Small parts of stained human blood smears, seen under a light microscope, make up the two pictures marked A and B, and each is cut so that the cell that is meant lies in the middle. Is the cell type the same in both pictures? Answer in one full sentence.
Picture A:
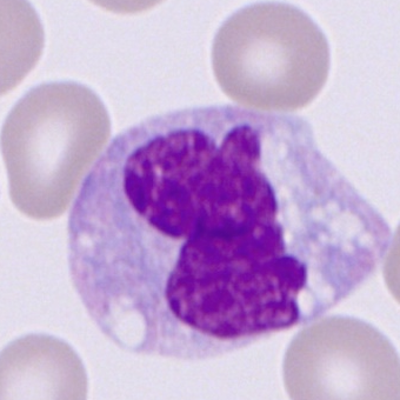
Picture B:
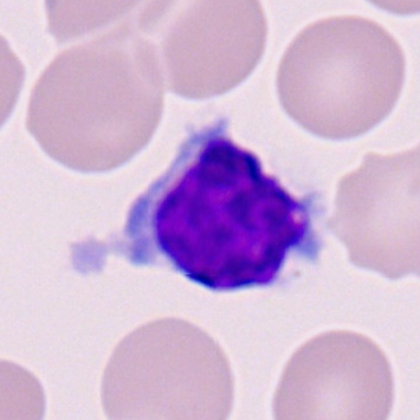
No; the cell in picture A is a monocyte, while the one in picture B is a lymphocyte.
